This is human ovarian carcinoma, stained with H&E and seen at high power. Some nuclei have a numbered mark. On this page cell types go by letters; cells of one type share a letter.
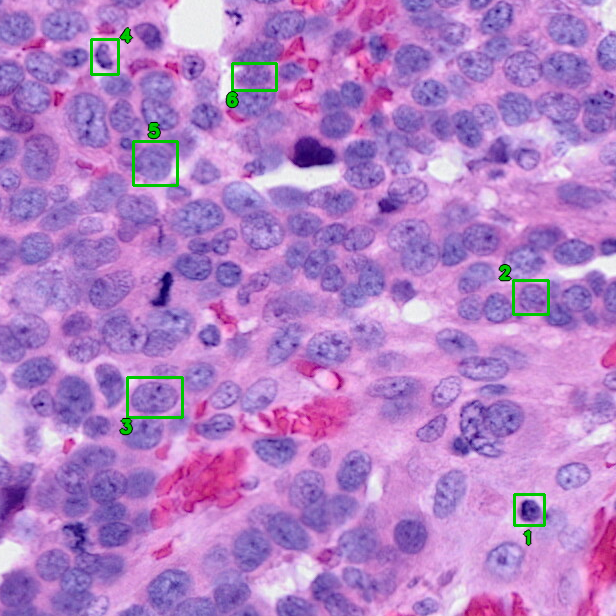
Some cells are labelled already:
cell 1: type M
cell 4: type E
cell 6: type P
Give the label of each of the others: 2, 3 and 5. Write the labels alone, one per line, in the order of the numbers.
type P
type P
type P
